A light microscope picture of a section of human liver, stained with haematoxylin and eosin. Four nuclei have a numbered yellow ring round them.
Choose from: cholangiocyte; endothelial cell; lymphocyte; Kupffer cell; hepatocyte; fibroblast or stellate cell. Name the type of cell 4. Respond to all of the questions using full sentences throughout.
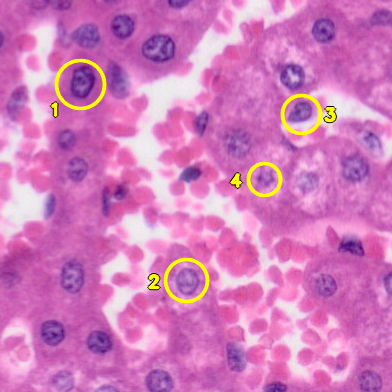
Cell 4, among those numbered, is a hepatocyte.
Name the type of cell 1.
The marked cell with the number 1 is recognised as a hepatocyte.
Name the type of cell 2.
Among the marked nuclei, number 2 belongs to a hepatocyte.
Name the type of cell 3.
Number 3 is placed on a Kupffer cell here.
